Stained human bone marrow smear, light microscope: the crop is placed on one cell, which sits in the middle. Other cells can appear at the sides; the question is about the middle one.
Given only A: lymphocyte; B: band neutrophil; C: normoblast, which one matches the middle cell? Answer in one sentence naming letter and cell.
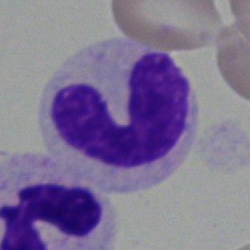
Of the choices given, option B is right, as the central cell is a band neutrophil.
